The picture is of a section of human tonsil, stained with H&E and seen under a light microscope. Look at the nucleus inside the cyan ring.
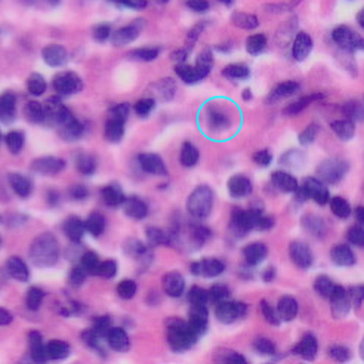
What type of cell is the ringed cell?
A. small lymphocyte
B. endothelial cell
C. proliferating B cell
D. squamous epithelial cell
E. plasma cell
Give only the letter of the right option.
B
